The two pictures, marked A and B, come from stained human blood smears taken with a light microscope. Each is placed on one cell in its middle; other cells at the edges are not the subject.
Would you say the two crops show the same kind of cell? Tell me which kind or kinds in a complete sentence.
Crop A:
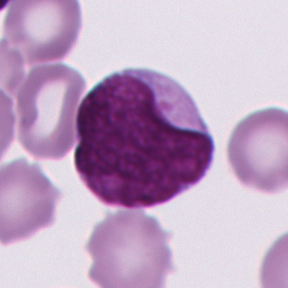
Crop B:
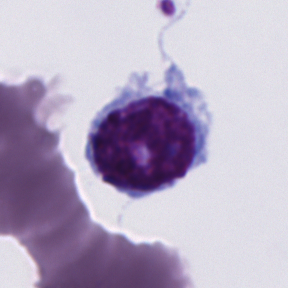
No, enter a myeloblast for crop A and a hairy cell for crop B.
